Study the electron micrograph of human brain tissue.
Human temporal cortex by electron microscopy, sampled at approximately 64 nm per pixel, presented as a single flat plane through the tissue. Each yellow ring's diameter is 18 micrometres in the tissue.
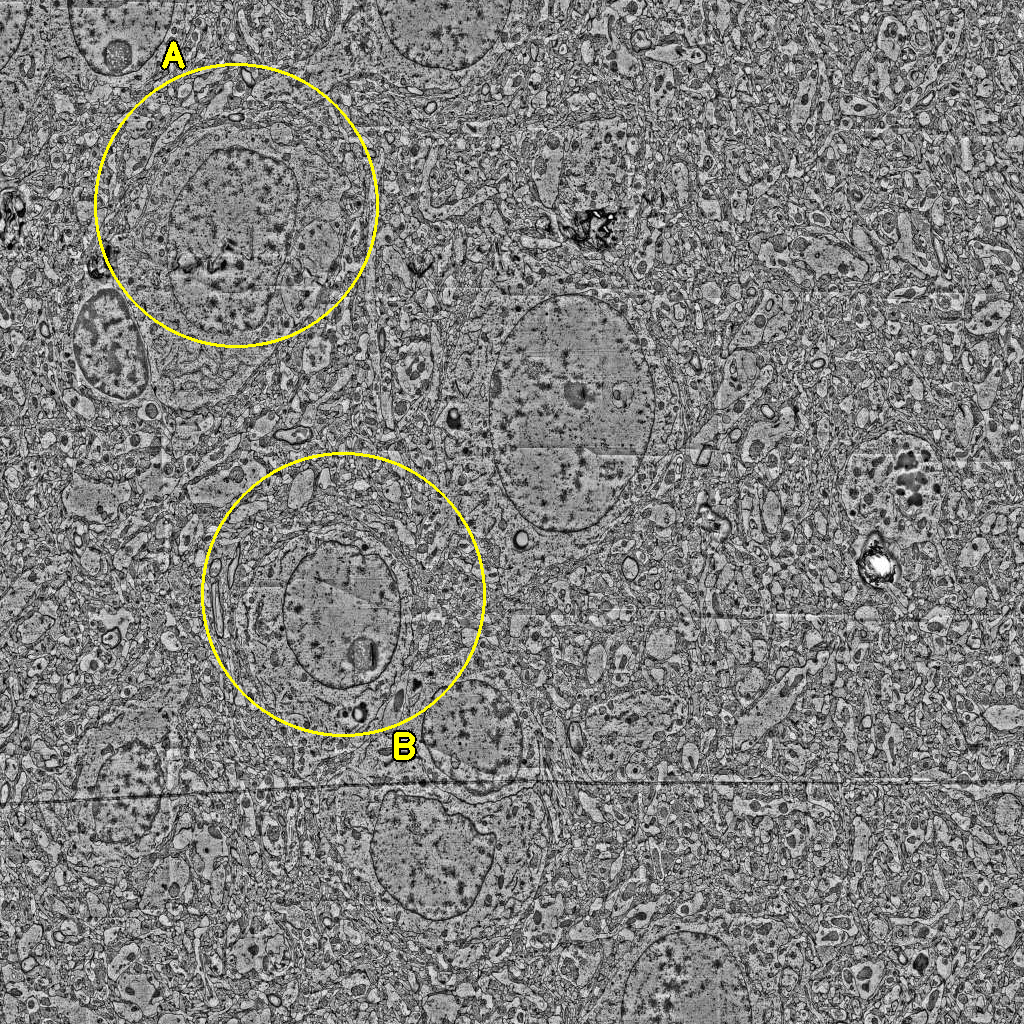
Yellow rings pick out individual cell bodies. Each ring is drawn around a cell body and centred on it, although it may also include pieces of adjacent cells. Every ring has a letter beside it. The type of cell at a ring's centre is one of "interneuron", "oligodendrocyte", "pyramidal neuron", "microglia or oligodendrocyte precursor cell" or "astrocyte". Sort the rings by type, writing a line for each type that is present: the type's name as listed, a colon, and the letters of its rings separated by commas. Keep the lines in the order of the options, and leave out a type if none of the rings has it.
interneuron: A
pyramidal neuron: B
